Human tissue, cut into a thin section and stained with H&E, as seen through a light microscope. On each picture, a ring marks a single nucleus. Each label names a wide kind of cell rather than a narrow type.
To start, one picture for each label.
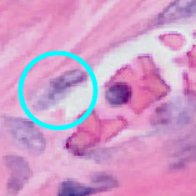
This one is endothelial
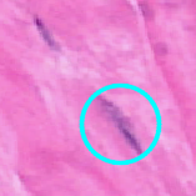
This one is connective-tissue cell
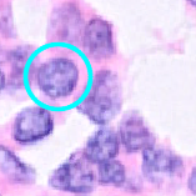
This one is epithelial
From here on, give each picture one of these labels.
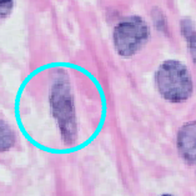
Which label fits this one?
connective-tissue cell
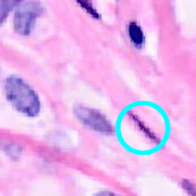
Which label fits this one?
connective-tissue cell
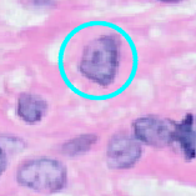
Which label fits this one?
epithelial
